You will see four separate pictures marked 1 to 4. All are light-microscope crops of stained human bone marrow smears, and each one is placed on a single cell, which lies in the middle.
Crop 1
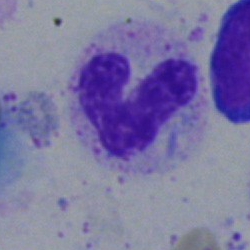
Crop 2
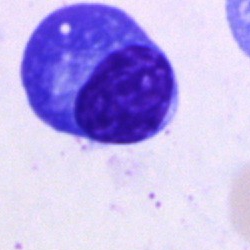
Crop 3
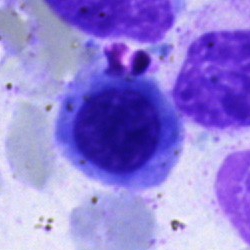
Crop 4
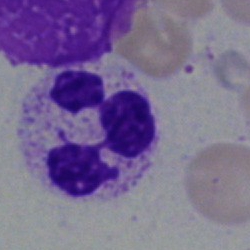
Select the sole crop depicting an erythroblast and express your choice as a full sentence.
Crop 3 alone, of all the crops, shows an erythroblast.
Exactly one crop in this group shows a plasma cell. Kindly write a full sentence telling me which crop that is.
Look at crop 2; that is the one with a plasma cell in its center.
